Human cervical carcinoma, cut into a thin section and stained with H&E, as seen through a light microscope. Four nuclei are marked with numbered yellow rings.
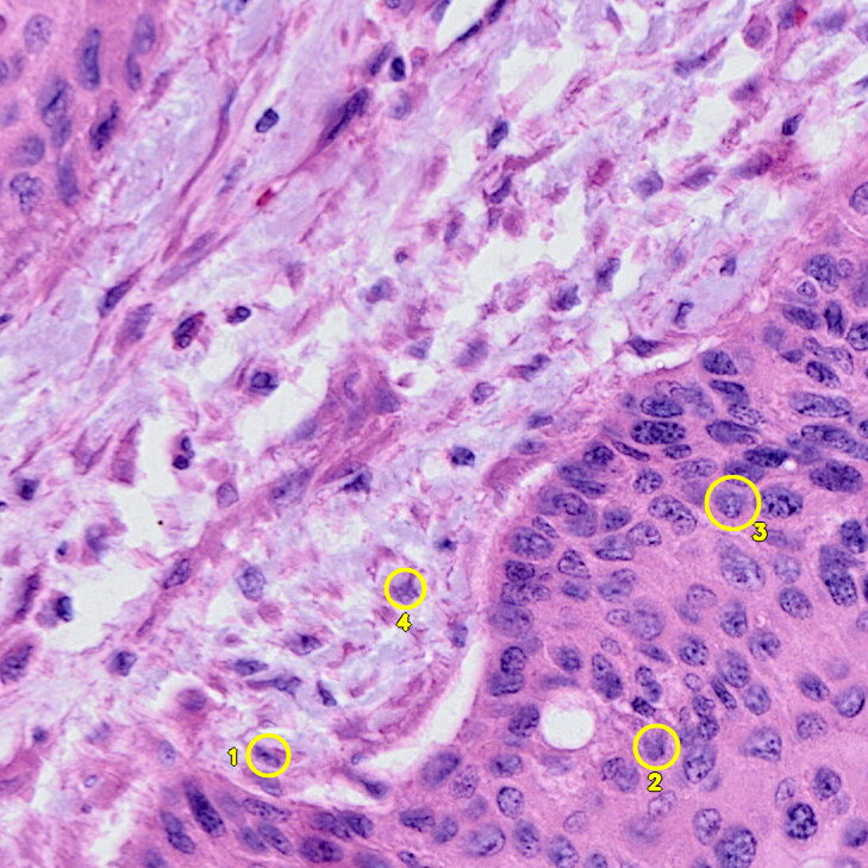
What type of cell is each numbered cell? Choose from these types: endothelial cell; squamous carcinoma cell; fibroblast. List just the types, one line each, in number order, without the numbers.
fibroblast
squamous carcinoma cell
squamous carcinoma cell
fibroblast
